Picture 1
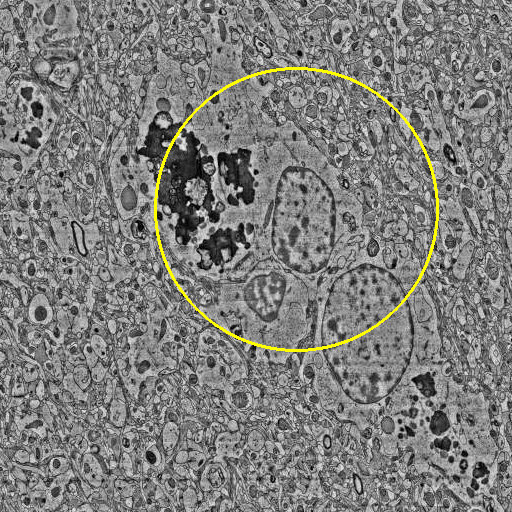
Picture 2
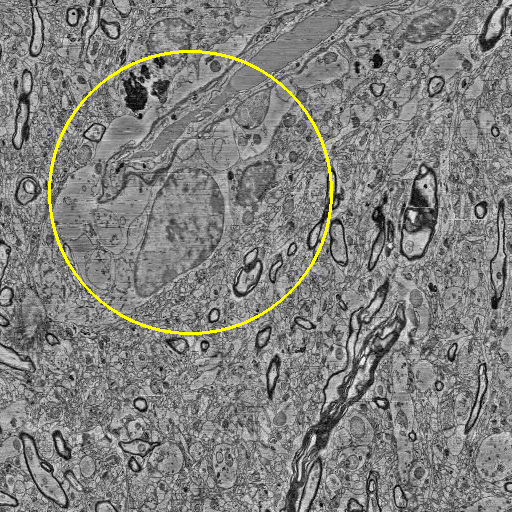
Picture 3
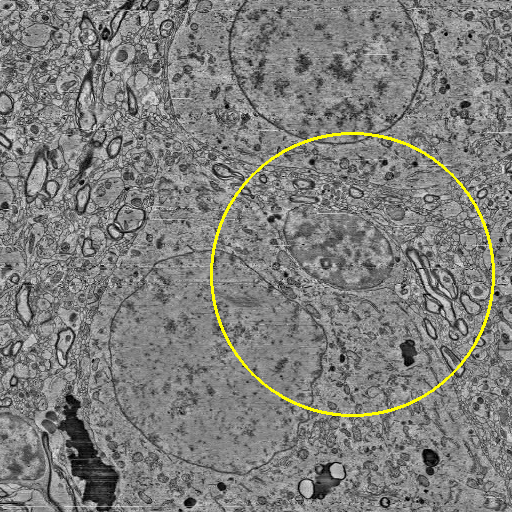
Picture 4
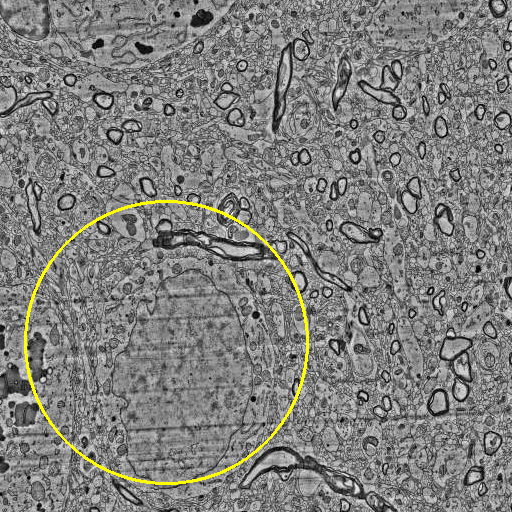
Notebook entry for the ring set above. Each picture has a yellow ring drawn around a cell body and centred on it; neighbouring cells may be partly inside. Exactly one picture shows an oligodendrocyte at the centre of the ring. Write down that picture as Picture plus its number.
Picture 3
